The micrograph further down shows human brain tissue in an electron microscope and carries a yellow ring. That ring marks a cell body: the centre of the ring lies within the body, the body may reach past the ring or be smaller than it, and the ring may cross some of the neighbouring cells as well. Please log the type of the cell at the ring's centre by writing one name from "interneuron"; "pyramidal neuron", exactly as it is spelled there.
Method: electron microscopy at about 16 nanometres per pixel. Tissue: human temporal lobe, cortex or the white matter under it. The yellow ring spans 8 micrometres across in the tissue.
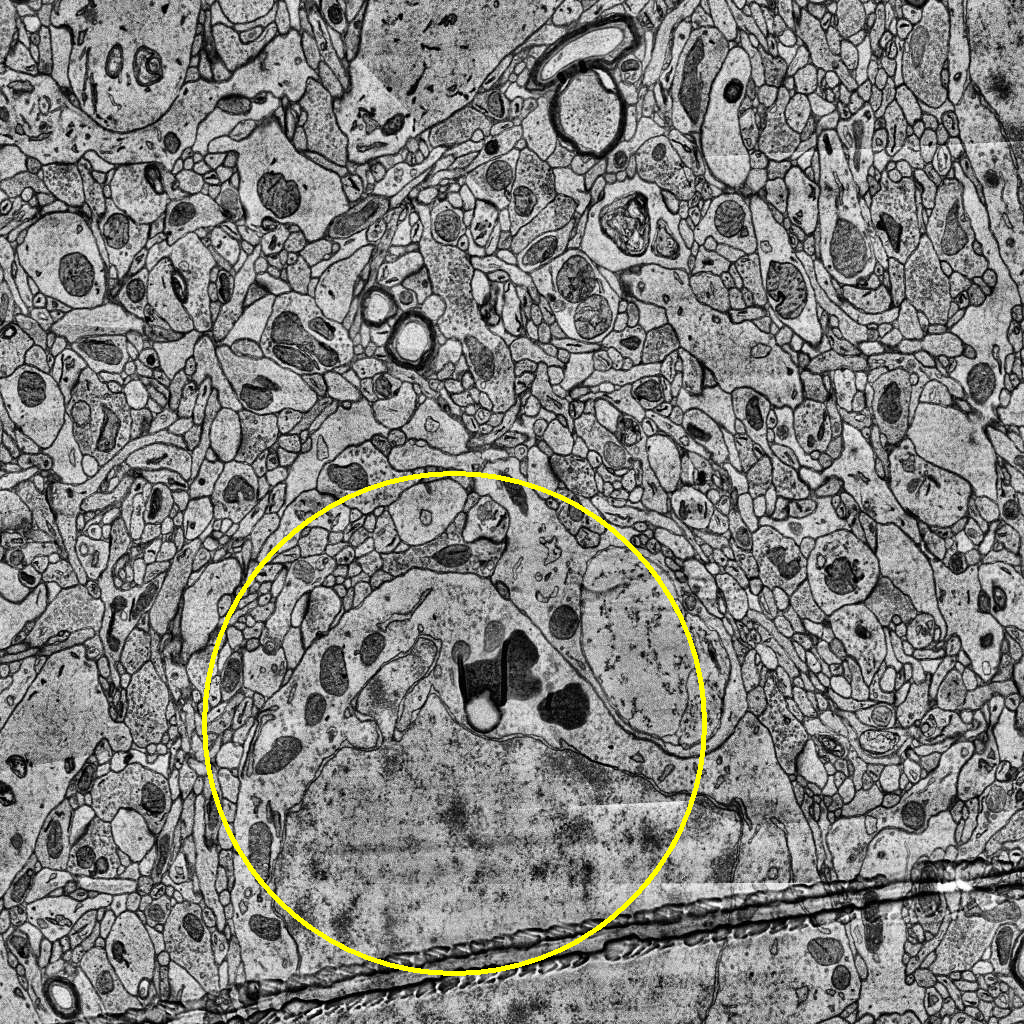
interneuron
